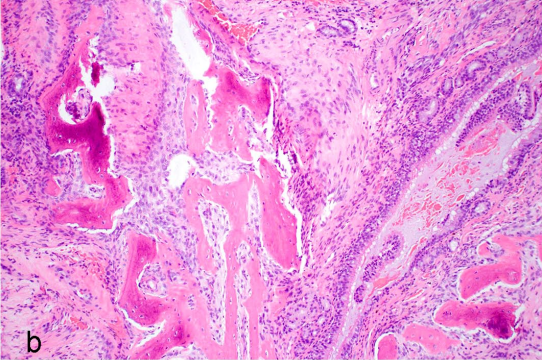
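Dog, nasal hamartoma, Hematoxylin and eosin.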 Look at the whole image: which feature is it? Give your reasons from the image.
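Irregular bright pink trabeculae run through a spindle-cell stroma. The trabeculae contain scattered cells in lacunae. On this evidence: Osseous core.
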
